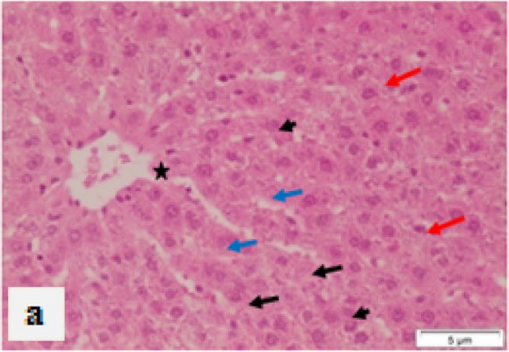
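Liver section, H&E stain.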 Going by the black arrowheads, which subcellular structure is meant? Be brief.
Vesicular nuclei.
